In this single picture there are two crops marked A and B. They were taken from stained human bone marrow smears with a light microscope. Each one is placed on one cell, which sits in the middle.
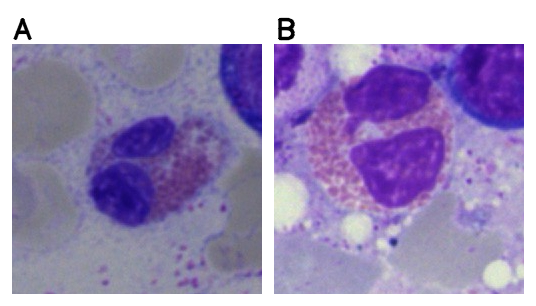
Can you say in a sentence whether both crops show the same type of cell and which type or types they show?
Yes, the cells that the two crops centre on are eosinophils.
